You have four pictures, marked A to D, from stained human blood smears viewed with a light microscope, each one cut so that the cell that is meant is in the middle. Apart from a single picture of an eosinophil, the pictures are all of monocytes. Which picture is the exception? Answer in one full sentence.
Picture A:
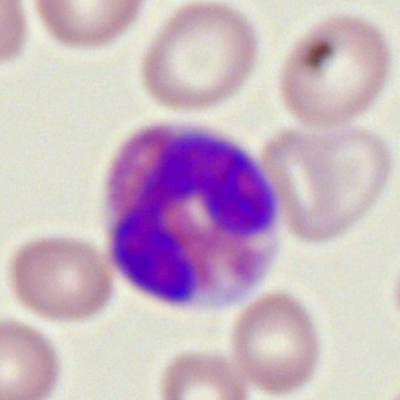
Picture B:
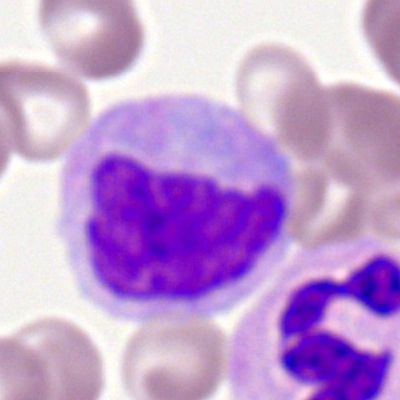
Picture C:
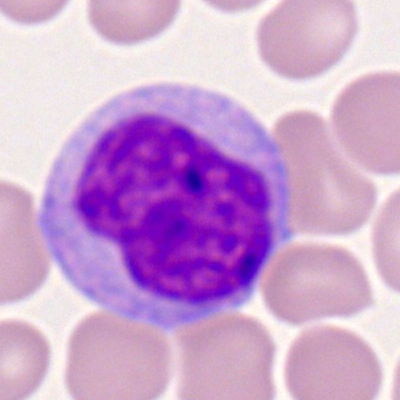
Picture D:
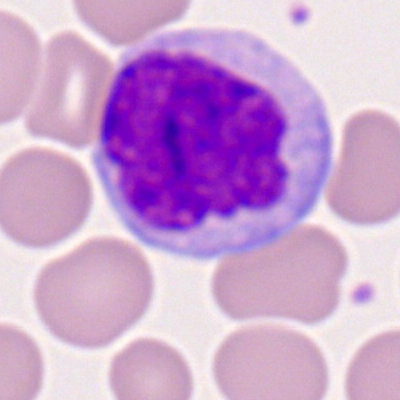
It is picture A that shows the eosinophil.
